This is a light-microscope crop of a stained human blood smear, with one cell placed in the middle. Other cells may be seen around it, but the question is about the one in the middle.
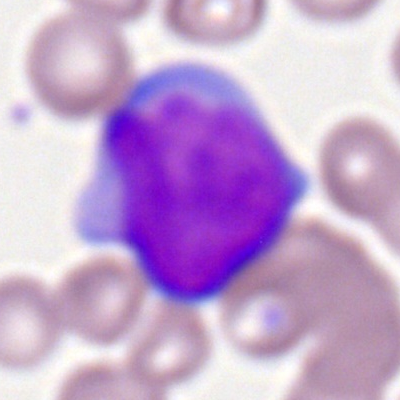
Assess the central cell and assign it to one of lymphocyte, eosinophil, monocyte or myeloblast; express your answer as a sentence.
The cell occupying the middle of the crop is a myeloblast.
